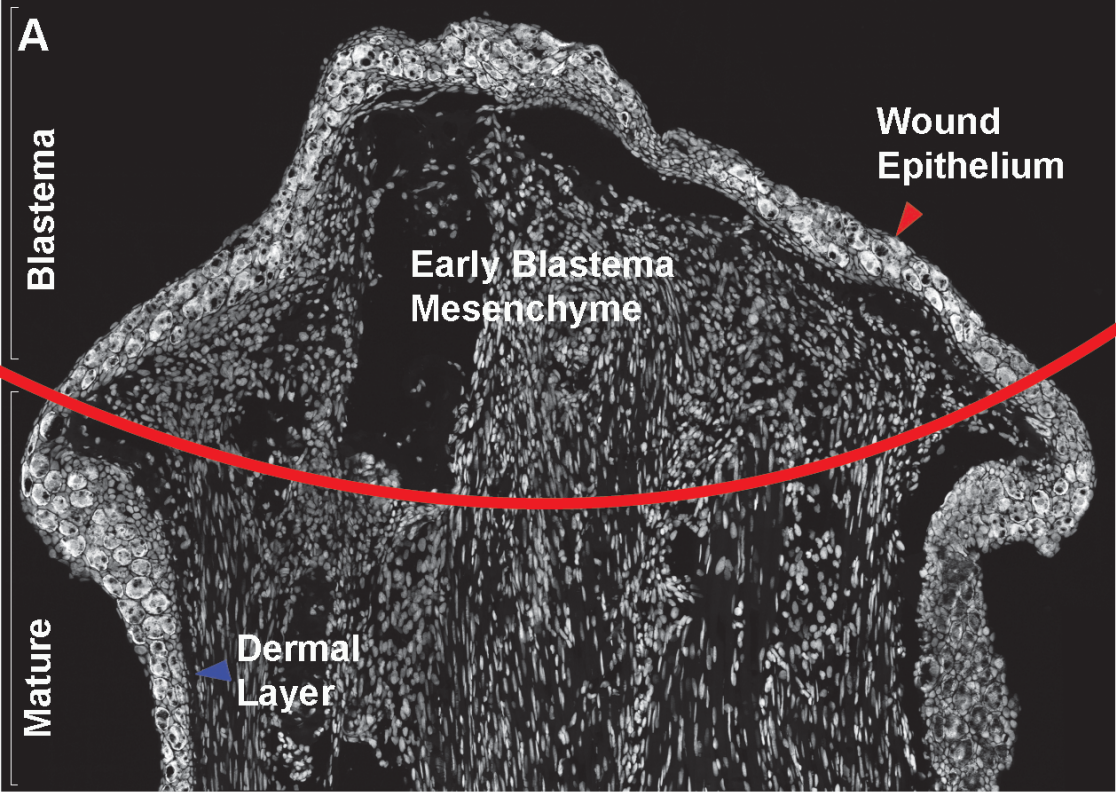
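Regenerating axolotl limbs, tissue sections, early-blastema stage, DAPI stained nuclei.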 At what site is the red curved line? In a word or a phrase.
Amputation plane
